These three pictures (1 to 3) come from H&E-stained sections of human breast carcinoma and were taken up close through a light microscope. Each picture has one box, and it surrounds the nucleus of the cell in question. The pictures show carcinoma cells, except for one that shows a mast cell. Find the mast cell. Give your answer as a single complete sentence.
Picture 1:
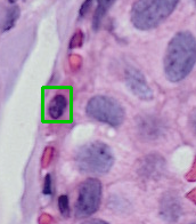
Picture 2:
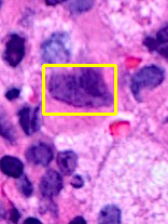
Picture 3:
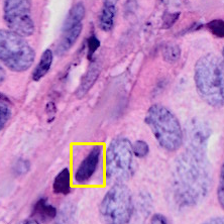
It is picture 1 that shows the mast cell.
